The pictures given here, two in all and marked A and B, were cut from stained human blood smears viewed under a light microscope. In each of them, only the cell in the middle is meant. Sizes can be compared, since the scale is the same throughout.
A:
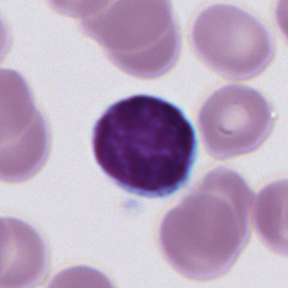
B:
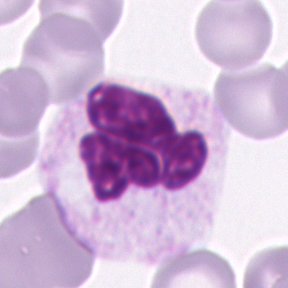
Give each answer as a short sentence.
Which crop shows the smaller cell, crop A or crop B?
It is the cell in crop A; the cell in crop B has about 3 times its area.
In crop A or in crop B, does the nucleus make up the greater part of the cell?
Of the two, the nucleus in crop A makes up the greater part of its cell.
